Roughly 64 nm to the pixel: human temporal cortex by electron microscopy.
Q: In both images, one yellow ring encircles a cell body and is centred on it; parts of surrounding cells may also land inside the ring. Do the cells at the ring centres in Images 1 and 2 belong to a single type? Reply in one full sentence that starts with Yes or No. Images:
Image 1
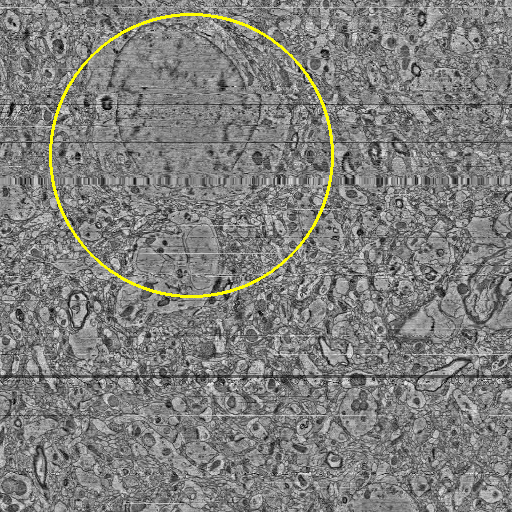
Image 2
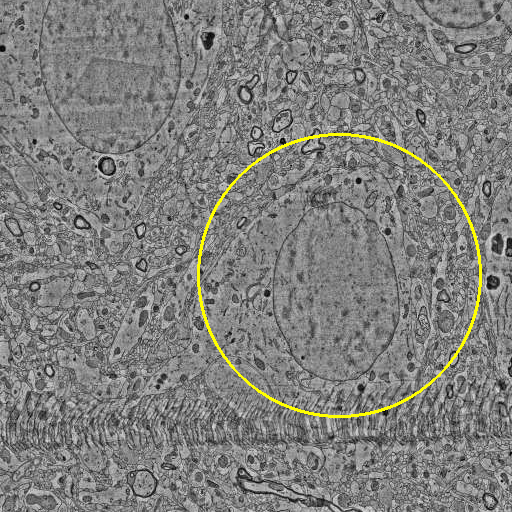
Yes, the cells at the ring centres in Images 1 and 2 are of a single type.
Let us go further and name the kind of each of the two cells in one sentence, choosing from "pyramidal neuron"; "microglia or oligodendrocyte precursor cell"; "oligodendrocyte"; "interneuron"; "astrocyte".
The first and the second cell are each a pyramidal neuron.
